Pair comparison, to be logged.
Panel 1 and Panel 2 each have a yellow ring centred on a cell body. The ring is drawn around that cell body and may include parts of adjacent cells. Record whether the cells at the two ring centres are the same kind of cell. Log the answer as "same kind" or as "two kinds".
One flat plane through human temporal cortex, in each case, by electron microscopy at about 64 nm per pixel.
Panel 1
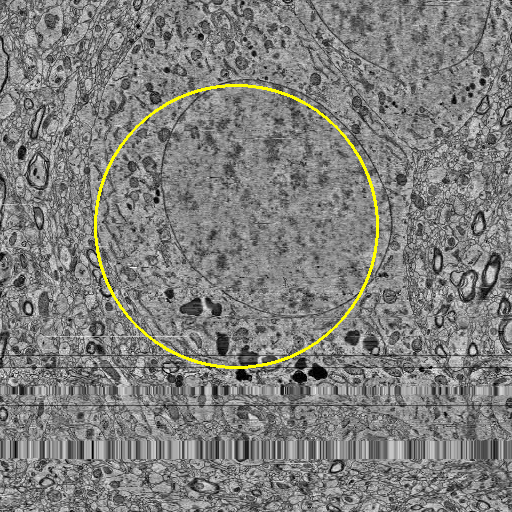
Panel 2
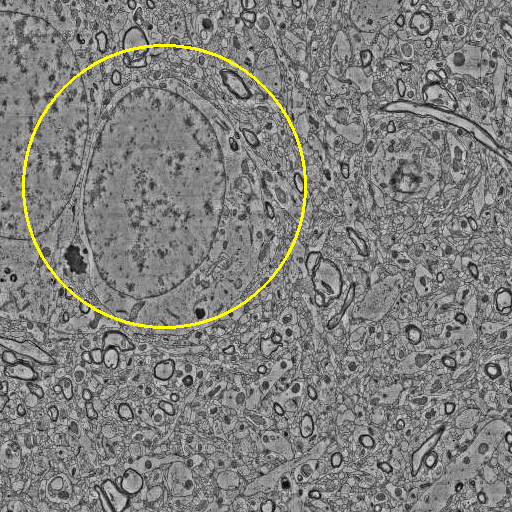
same kind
